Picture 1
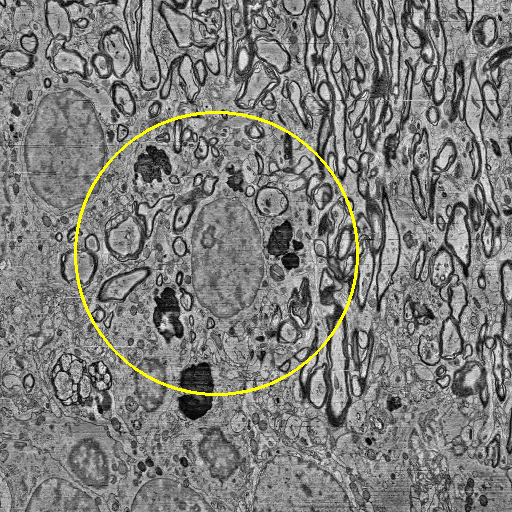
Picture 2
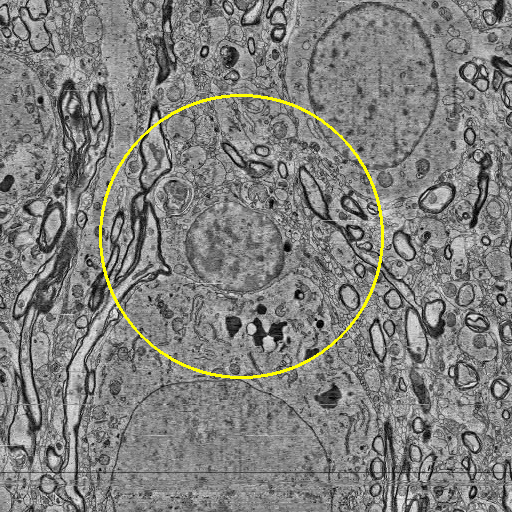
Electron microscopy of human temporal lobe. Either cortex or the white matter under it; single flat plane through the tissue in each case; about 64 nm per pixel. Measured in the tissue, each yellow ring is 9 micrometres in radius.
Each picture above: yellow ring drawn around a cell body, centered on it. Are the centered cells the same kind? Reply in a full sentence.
Yes, the two cells are the same kind.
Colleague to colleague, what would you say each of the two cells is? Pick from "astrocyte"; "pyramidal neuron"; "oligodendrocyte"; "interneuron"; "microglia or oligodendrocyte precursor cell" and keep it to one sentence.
Each of the two cells is an oligodendrocyte.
